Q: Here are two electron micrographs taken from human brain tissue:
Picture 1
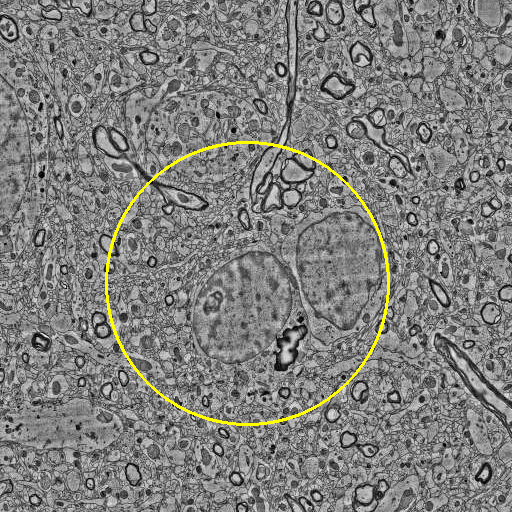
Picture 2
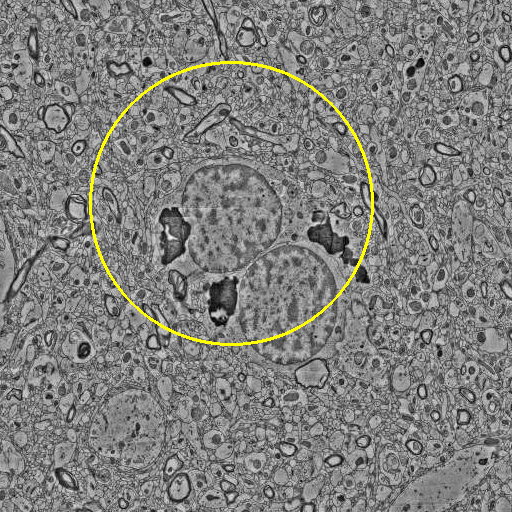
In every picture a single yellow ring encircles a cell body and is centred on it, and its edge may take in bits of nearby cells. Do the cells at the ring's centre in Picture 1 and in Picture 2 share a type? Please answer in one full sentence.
Yes, the cells at the ring's centre in Picture 1 and Picture 2 share a type.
